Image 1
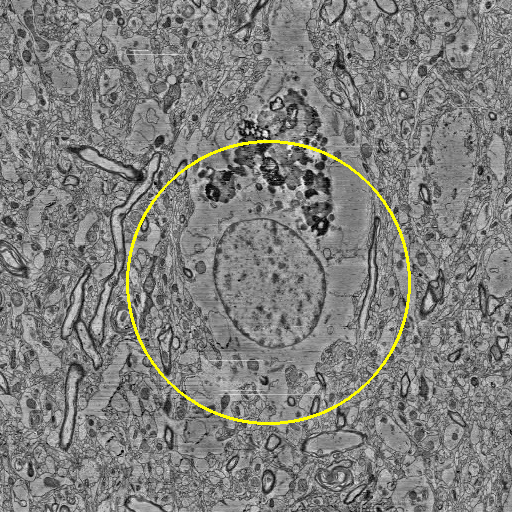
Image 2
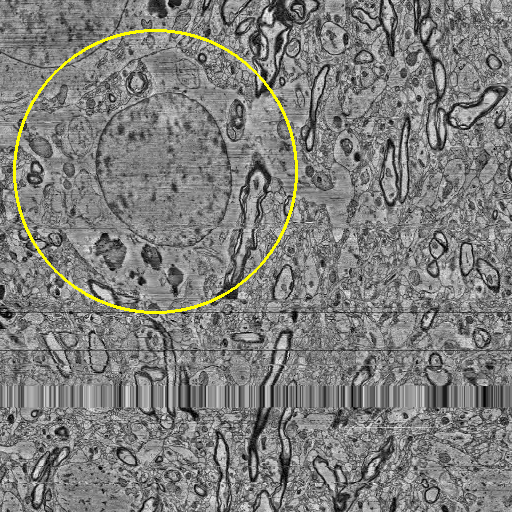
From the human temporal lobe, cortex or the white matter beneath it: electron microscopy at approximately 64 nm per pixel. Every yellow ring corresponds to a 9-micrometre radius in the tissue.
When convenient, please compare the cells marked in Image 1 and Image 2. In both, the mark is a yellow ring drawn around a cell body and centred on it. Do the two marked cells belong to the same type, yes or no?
yes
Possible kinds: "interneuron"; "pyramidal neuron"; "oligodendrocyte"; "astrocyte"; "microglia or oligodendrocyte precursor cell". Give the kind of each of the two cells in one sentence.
In both pictures the ring is centred on an astrocyte.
